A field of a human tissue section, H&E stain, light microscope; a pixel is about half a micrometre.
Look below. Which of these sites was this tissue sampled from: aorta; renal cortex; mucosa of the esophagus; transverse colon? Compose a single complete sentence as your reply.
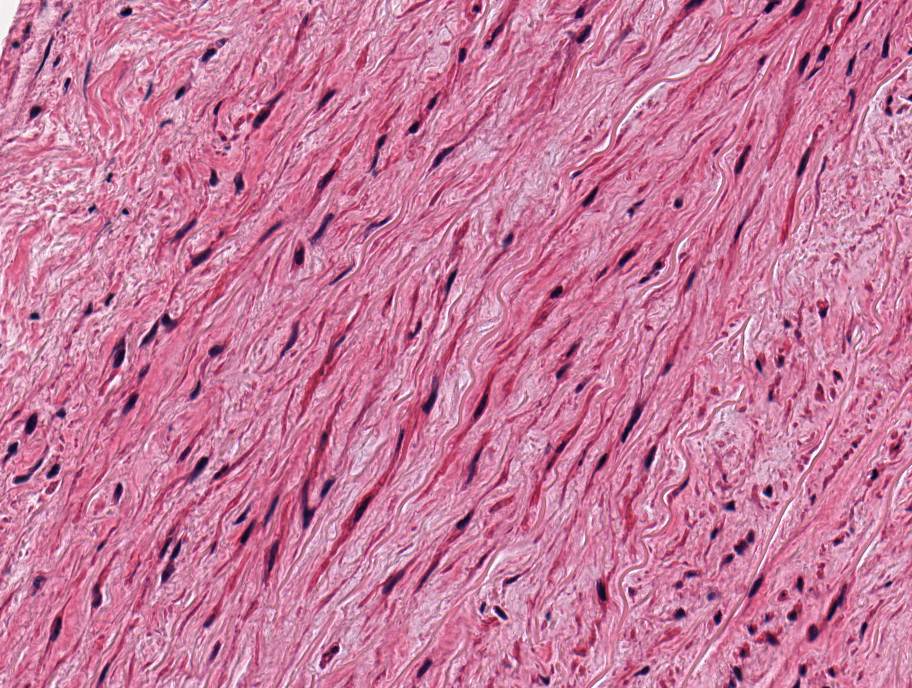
The tissue sample derives from the aorta.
